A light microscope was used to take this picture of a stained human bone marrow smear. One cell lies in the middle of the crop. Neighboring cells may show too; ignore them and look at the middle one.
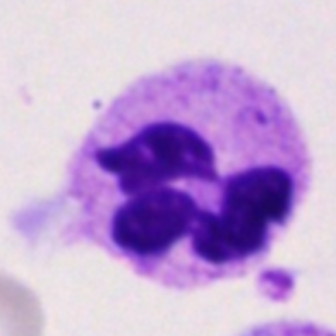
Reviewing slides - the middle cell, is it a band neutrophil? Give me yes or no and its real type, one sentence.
No, instead of a band neutrophil, the middle cell is a segmented neutrophil.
